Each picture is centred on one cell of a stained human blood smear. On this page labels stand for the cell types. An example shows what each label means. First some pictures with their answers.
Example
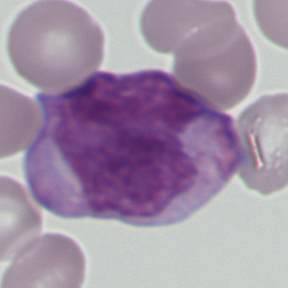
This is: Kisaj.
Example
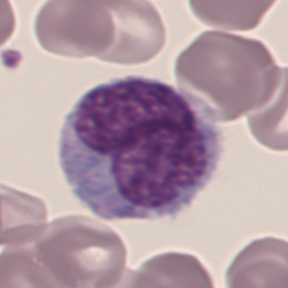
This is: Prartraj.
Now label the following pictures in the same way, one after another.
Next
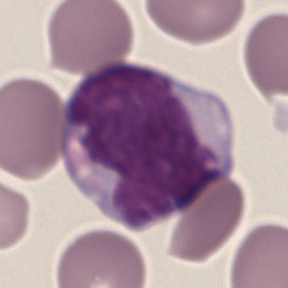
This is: Kisaj.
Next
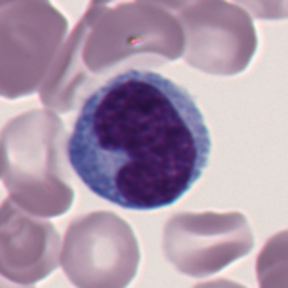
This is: Prartraj.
